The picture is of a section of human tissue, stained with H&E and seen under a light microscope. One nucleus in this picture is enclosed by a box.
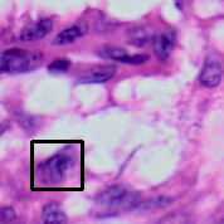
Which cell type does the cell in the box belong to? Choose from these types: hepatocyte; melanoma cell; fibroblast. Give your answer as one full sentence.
The cell in the box is a melanoma cell.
